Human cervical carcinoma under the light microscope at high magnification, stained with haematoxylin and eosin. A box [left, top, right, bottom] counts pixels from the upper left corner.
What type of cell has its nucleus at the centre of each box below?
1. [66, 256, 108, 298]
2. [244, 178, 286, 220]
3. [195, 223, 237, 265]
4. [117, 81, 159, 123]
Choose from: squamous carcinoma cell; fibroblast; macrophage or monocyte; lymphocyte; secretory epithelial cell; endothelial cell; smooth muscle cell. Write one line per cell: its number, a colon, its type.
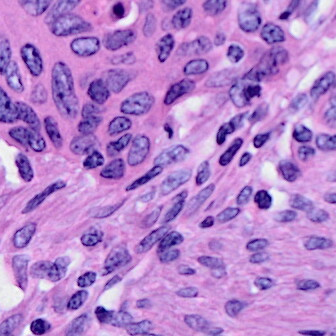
1: lymphocyte
2: lymphocyte
3: smooth muscle cell
4: squamous carcinoma cell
